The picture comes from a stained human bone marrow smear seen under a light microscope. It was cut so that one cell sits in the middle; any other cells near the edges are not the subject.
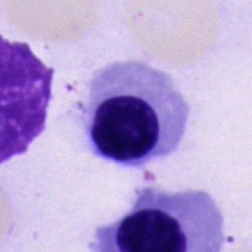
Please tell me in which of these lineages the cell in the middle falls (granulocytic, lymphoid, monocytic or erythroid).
erythroid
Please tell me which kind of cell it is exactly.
erythroblast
